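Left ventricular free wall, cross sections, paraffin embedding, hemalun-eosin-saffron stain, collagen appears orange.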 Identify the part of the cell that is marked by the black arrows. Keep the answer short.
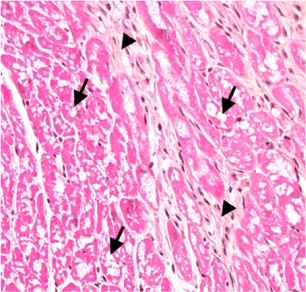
Vacuoles.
